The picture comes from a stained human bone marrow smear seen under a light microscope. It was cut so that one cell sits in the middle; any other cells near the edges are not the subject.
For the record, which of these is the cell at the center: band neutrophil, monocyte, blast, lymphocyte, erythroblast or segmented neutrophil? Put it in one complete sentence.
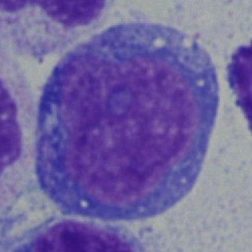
The cell occupying the middle of the crop is a blast.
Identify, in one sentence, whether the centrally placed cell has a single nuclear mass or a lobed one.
The nucleus holds together as a single compact mass, round, oval or kidney-like.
